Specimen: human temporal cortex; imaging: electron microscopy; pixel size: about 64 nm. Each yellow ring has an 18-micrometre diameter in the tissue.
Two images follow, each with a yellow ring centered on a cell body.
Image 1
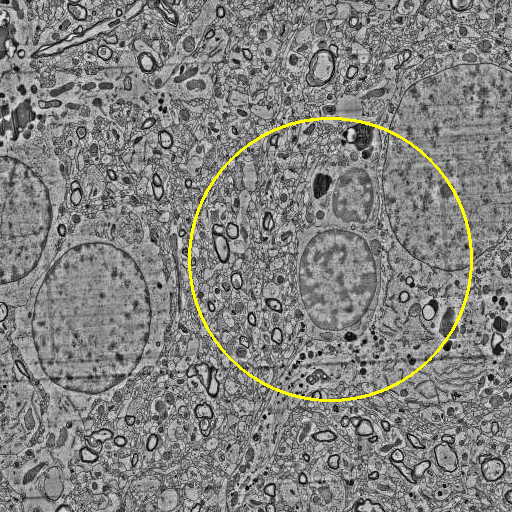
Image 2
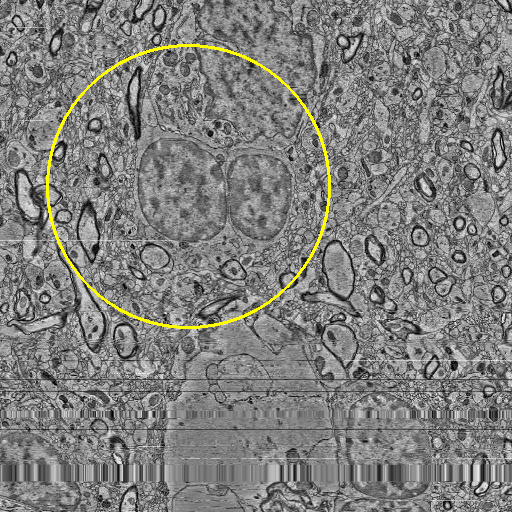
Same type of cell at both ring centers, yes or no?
yes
